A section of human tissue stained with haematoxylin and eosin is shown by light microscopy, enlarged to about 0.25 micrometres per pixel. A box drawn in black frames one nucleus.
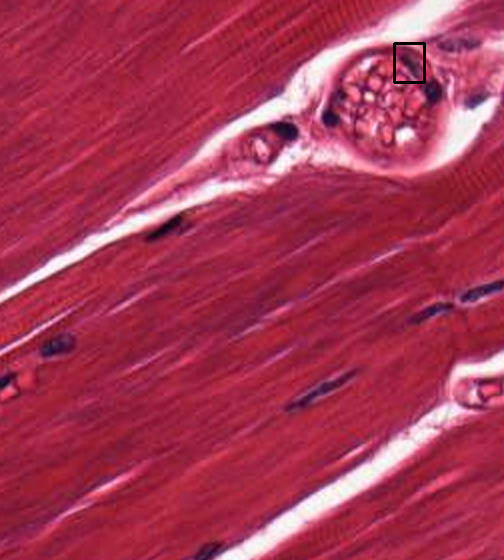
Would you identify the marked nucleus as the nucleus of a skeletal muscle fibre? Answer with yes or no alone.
no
